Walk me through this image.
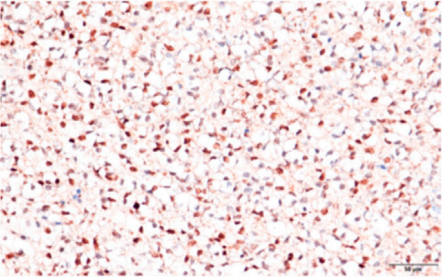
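Most nuclei are stained dark red-brown, some very intensely, while a few scattered nuclei remain blue. Many tumour cells show pale or clear cytoplasm around the nucleus, giving a honeycomb look to the sheet. The background between the cells is finely fibrillary and lightly tinted. The cells are fairly uniform in size and spread evenly across the field without an obvious layered arrangement.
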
